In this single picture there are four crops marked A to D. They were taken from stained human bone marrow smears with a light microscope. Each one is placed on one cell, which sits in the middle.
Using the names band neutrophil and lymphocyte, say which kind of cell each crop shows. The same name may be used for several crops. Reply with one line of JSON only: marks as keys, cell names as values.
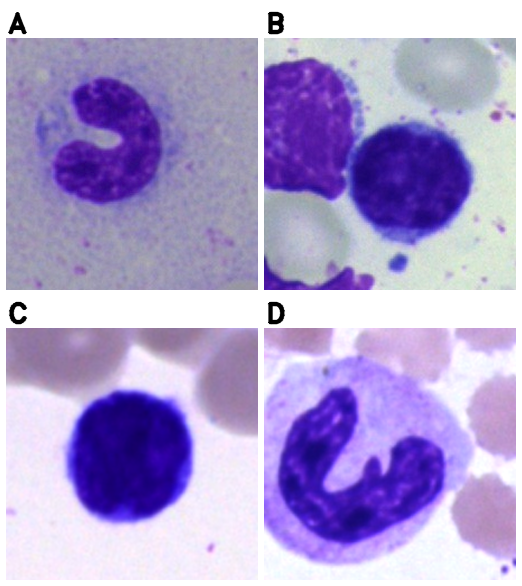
{"A": "band neutrophil", "B": "lymphocyte", "C": "lymphocyte", "D": "band neutrophil"}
